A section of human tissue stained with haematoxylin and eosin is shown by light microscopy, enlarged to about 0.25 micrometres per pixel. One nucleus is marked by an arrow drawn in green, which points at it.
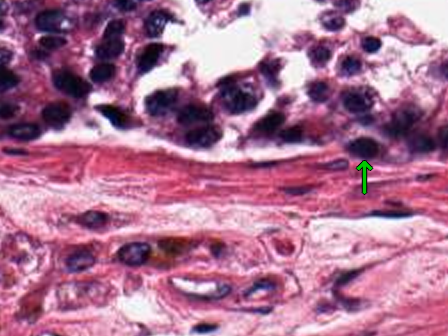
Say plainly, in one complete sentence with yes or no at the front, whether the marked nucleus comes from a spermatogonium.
Yes, the marked nucleus is in a spermatogonium.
